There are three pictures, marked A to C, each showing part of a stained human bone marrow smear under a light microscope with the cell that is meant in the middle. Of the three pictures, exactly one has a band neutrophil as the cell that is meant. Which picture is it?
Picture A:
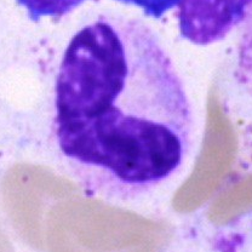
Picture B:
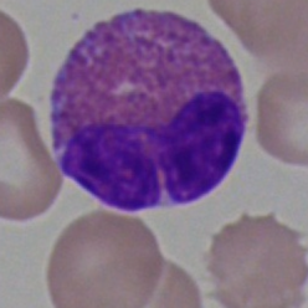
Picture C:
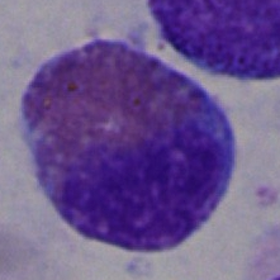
A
